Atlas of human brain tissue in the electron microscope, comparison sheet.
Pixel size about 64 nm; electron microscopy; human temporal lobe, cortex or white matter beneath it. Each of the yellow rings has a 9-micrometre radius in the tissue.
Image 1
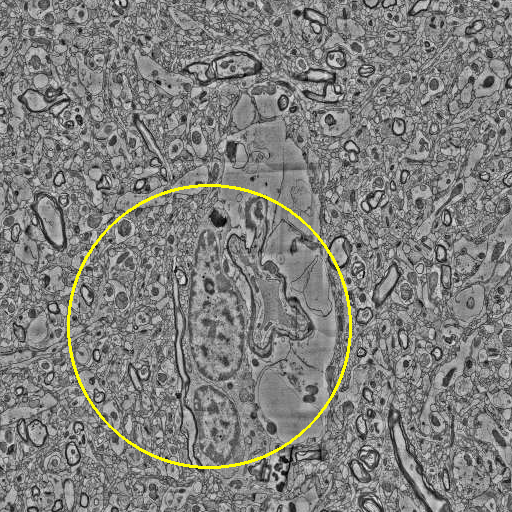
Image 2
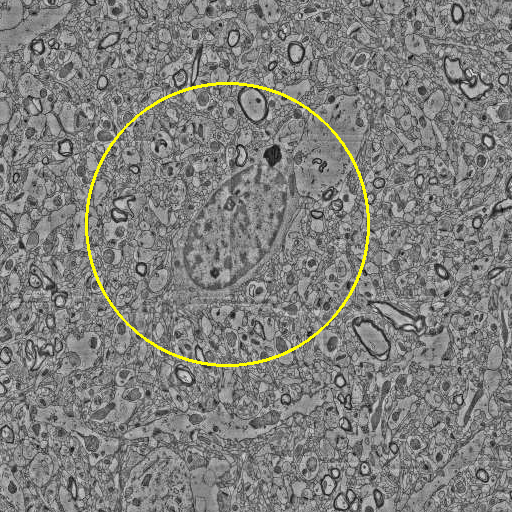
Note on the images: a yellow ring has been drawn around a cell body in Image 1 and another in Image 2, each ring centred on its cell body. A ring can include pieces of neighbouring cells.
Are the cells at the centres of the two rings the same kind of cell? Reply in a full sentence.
Yes, both cells are of the same kind.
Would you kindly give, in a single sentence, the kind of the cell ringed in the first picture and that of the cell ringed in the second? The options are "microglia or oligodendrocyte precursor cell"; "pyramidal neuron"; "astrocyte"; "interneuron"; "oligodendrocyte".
Both the first and the second picture show an oligodendrocyte in the ring.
